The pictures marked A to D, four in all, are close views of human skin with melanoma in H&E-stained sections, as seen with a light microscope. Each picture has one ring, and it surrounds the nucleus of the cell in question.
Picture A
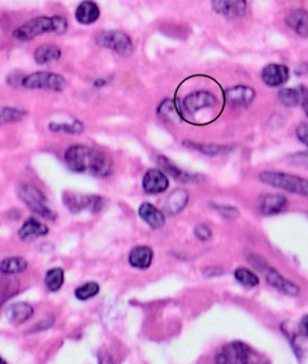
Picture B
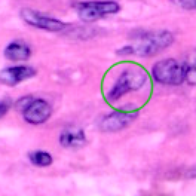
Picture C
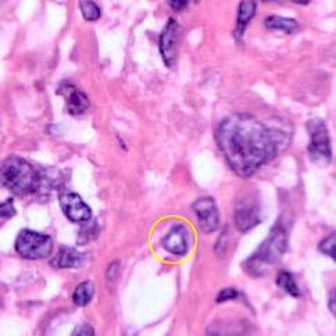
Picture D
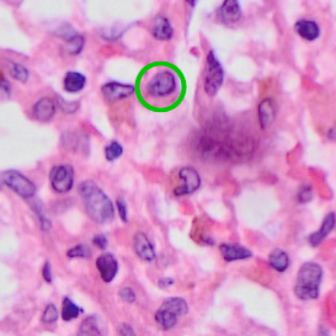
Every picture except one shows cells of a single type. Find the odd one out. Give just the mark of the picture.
D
